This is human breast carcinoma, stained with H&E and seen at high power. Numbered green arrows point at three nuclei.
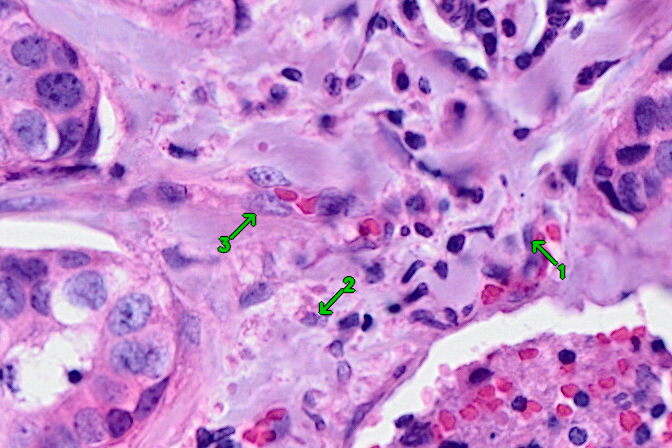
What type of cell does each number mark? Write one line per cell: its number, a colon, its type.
1: endothelial cell
2: macrophage, monocyte or dendritic cell
3: endothelial cell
